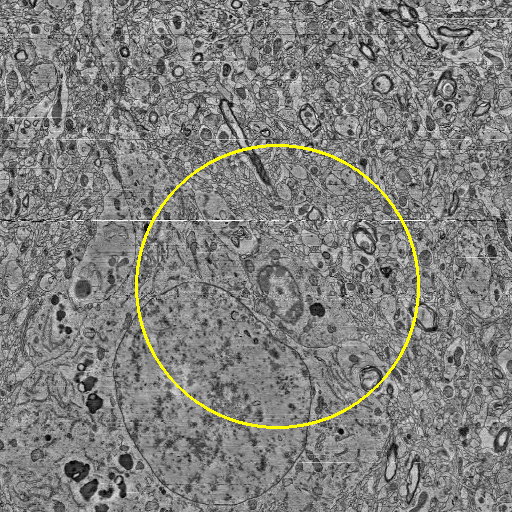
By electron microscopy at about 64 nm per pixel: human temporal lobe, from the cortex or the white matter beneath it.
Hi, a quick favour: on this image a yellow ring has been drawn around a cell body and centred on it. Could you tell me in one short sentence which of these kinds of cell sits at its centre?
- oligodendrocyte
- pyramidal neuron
The ring is centred on an oligodendrocyte.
